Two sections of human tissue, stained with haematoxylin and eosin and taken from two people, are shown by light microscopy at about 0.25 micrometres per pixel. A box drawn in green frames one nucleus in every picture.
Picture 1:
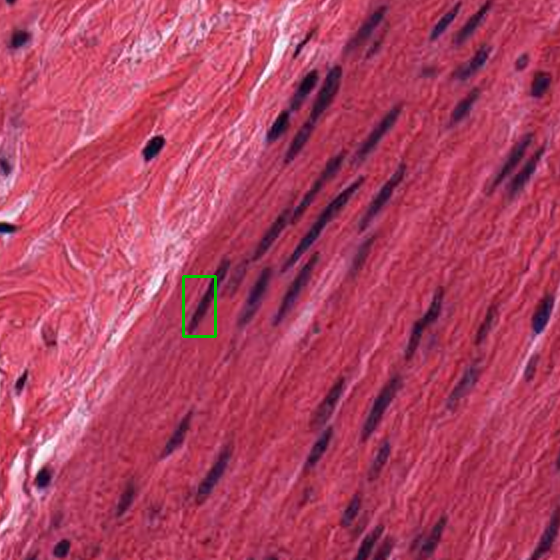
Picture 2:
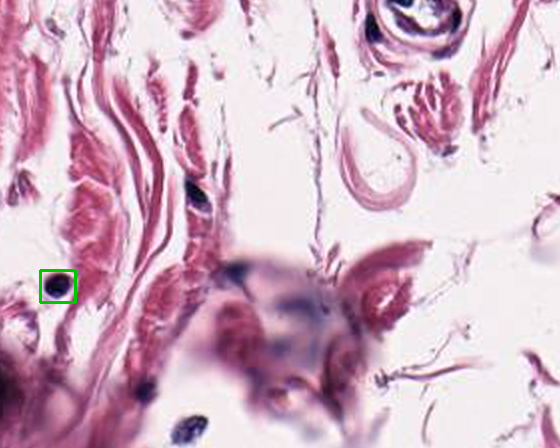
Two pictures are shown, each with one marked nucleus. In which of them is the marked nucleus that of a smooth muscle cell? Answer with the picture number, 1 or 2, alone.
1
